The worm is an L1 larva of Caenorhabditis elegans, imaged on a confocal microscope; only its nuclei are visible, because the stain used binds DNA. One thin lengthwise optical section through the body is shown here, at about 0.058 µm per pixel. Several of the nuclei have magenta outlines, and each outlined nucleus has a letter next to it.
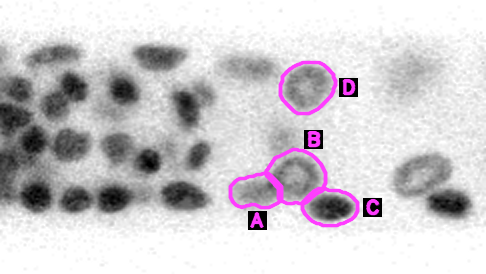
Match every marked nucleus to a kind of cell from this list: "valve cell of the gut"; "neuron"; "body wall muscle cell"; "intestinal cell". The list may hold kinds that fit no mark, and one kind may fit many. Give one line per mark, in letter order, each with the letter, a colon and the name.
A: body wall muscle cell
B: intestinal cell
C: neuron
D: intestinal cell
